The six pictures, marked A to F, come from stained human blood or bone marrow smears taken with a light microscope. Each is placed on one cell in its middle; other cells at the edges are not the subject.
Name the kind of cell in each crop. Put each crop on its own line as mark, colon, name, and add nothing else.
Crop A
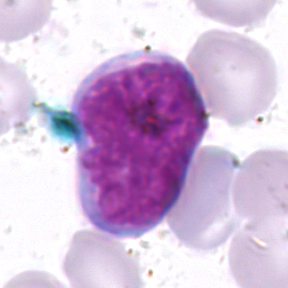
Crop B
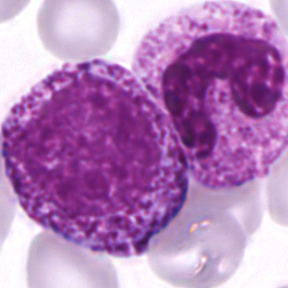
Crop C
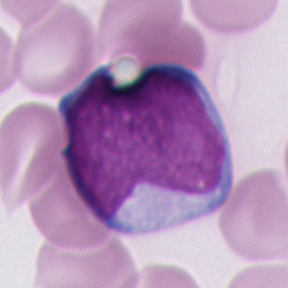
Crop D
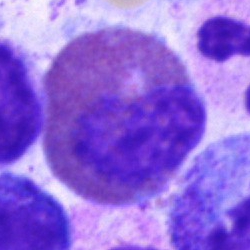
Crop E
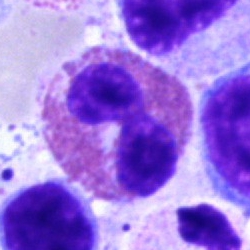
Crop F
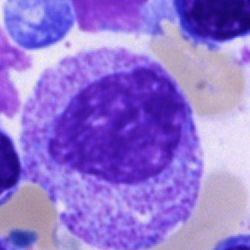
A: blast
B: promyelocyte
C: blast
D: eosinophil
E: eosinophil
F: promyelocyte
